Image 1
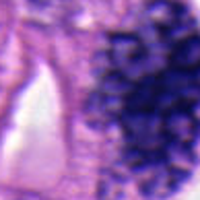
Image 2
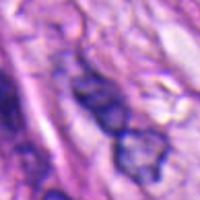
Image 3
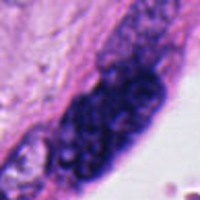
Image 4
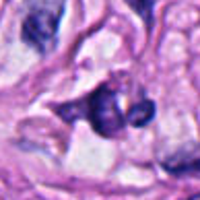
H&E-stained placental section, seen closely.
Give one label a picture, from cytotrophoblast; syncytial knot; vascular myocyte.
1. syncytial knot
2. cytotrophoblast
3. syncytial knot
4. vascular myocyte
